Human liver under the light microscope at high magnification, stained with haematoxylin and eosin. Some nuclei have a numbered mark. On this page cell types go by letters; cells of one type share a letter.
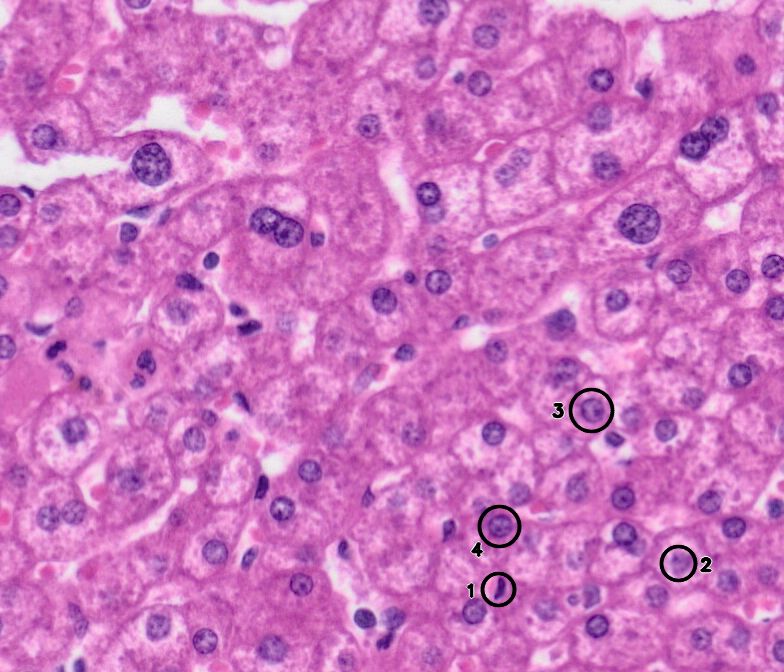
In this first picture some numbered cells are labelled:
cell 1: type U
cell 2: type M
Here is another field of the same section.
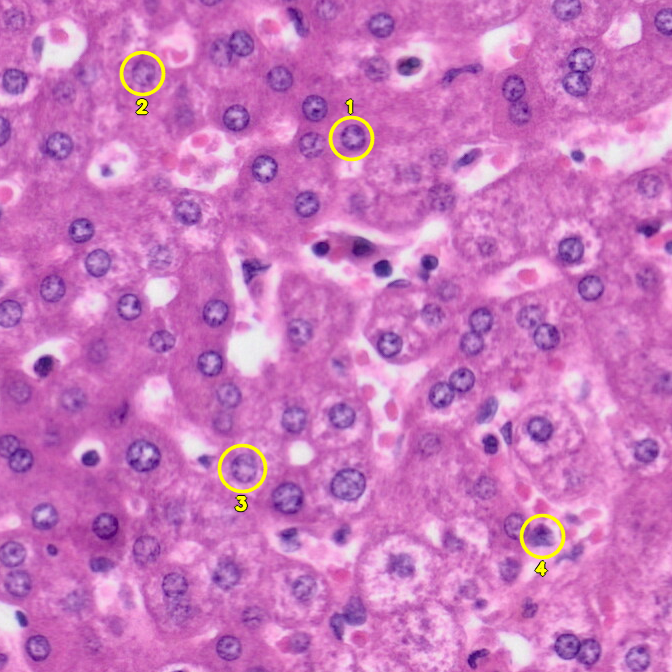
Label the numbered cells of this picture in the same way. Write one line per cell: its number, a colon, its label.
1: type M
2: type M
3: type M
4: type U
